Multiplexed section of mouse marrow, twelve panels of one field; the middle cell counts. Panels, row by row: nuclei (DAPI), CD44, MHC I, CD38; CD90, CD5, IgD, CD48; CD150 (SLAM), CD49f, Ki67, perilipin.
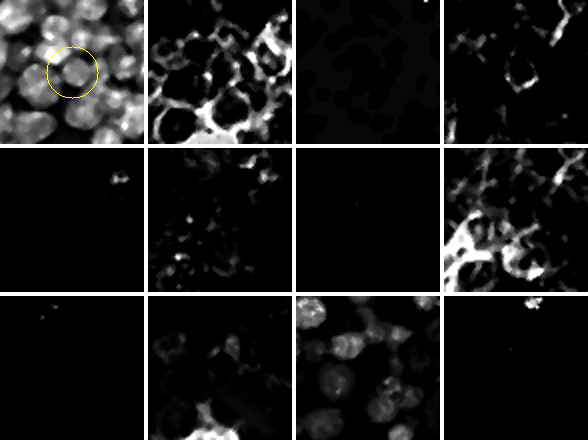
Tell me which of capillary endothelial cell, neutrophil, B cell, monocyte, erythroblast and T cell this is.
The picture shows a B cell.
